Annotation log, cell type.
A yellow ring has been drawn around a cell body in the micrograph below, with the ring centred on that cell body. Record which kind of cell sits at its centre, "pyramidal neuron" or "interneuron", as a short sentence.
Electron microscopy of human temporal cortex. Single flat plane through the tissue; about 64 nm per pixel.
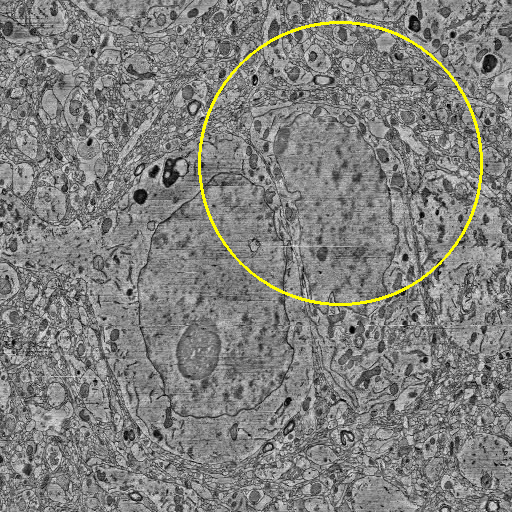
The cell at the centre of this ring is an interneuron.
